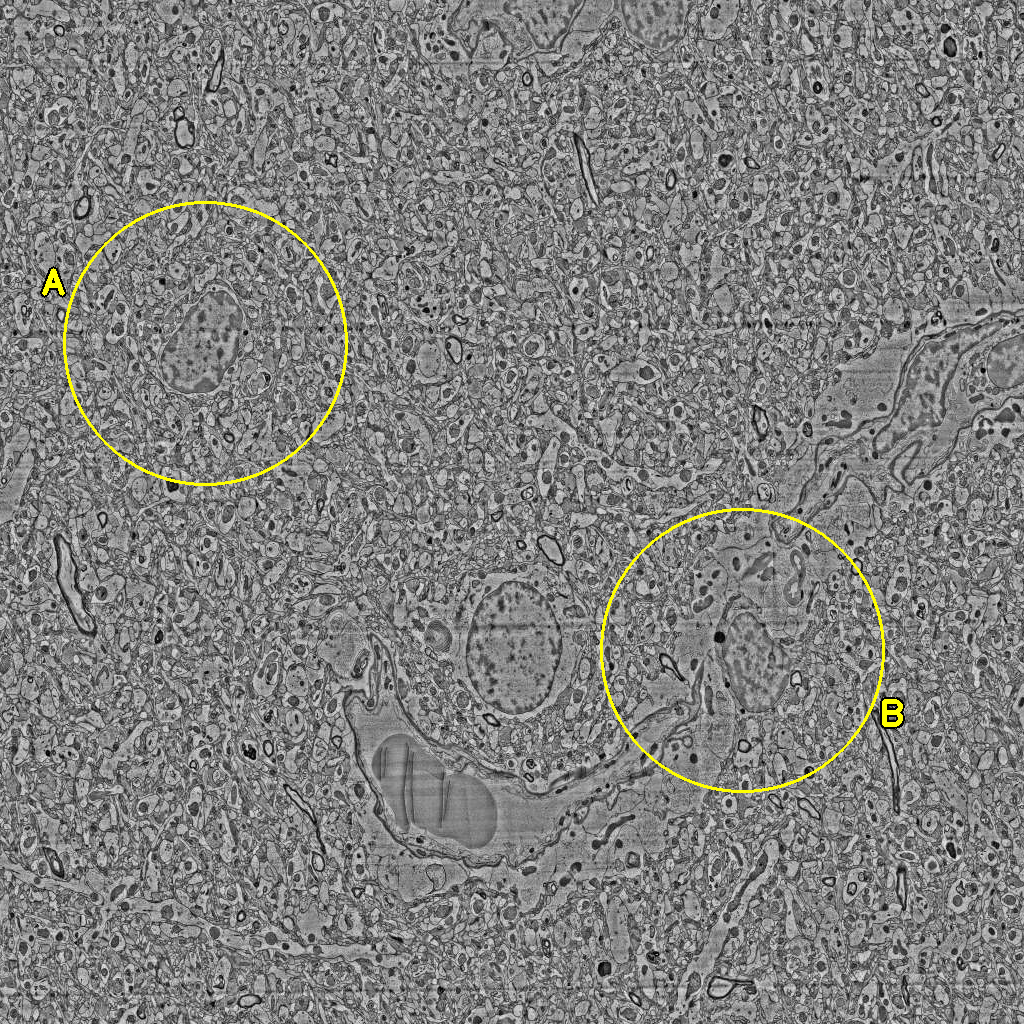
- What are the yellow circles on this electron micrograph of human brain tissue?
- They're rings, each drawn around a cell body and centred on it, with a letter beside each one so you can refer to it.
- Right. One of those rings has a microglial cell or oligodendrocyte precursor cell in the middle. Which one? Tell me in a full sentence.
It's ring A.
